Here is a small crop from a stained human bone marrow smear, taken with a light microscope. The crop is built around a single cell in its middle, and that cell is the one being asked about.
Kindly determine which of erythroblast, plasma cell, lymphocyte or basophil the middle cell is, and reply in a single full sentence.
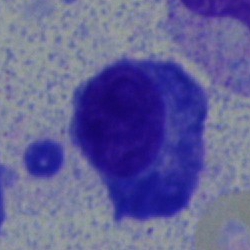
In this crop, the cell at the very middle is a plasma cell.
